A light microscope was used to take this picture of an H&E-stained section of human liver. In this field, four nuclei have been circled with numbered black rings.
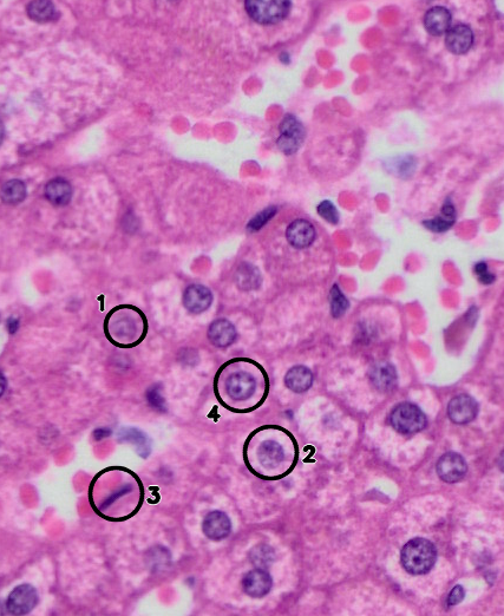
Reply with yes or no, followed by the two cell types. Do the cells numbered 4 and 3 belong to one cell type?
No, cell 4 is a hepatocyte, and cell 3, in contrast, is a fibroblast or stellate cell.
